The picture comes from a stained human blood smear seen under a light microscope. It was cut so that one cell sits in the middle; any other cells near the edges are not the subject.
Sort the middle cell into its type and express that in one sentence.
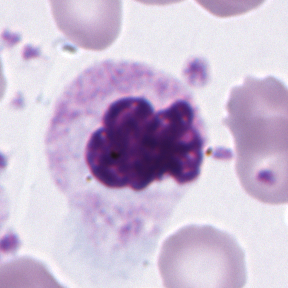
The cell featured at the centre of this crop is a segmented neutrophil.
